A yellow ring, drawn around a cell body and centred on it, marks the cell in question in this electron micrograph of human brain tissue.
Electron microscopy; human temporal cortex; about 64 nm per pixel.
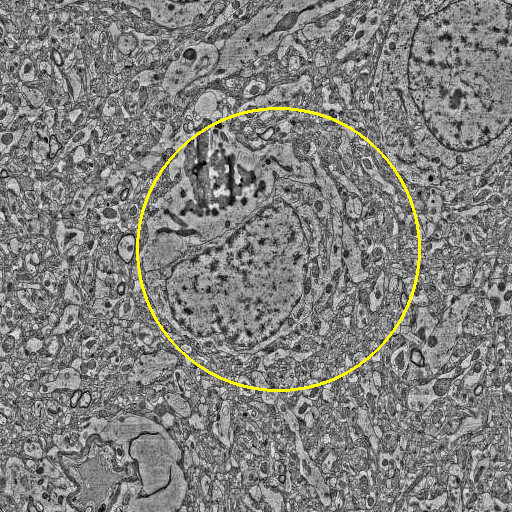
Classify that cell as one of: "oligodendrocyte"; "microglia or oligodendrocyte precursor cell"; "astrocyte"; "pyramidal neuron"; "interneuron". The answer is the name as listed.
interneuron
